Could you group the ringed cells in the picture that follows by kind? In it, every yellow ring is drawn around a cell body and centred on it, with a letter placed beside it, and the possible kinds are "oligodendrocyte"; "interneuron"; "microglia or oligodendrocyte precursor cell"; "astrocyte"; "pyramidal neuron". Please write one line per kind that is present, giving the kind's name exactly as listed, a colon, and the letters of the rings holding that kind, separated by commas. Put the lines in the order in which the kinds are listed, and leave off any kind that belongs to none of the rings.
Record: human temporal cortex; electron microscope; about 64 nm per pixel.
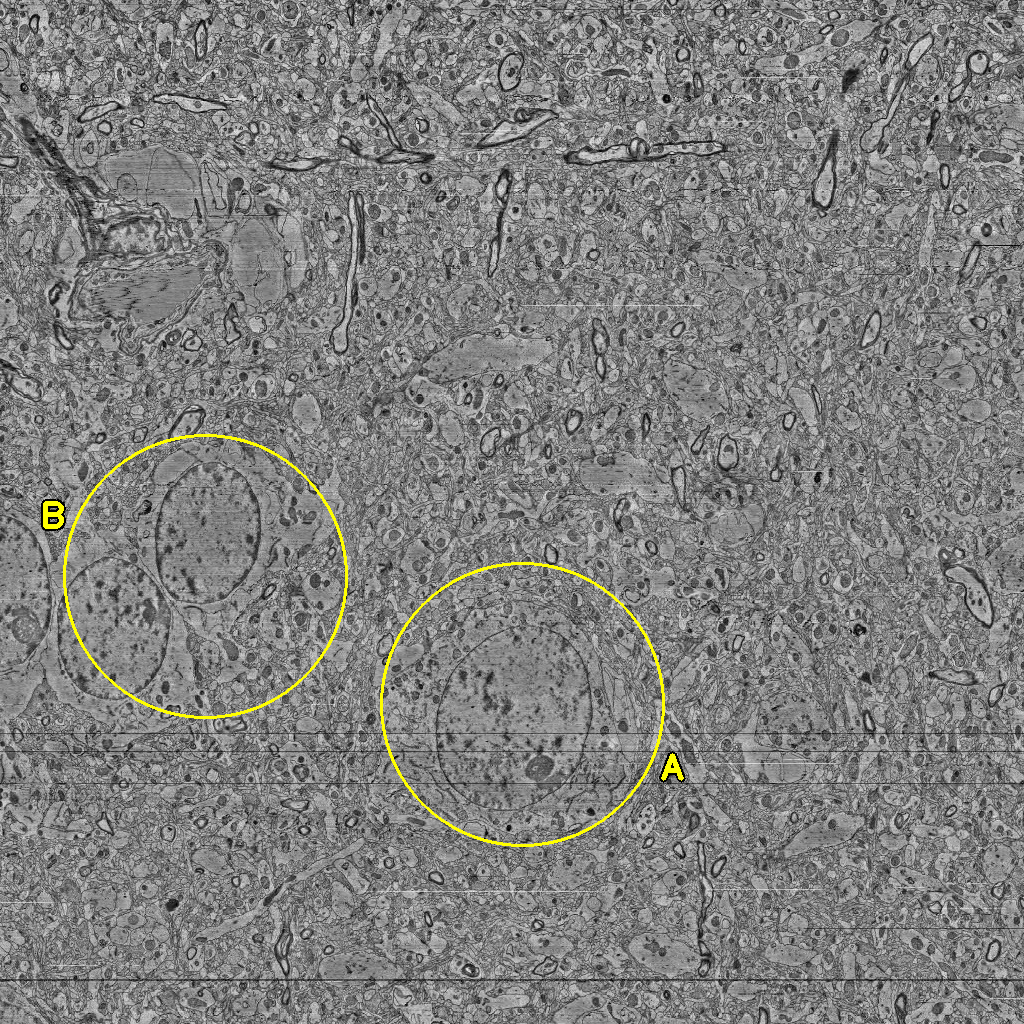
astrocyte: B
pyramidal neuron: A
